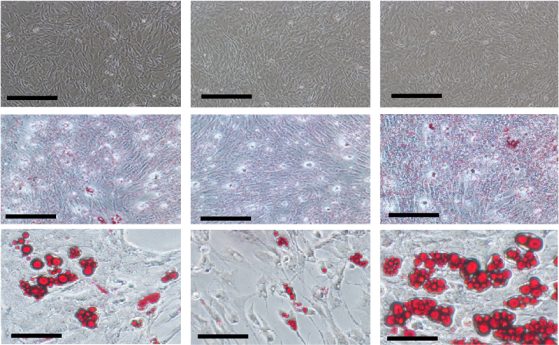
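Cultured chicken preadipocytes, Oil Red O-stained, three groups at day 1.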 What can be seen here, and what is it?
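In the top row the cells form a dense, unstained layer of elongated, spindle-shaped cells with no red material. In the middle row the cells are still densely packed and spindle-shaped, with fine red dots scattered through the cytoplasm. In the bottom row many cells are rounded and packed with bright red lipid droplets of differing sizes, lying among flattened, lightly stained cells with few or no droplets.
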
